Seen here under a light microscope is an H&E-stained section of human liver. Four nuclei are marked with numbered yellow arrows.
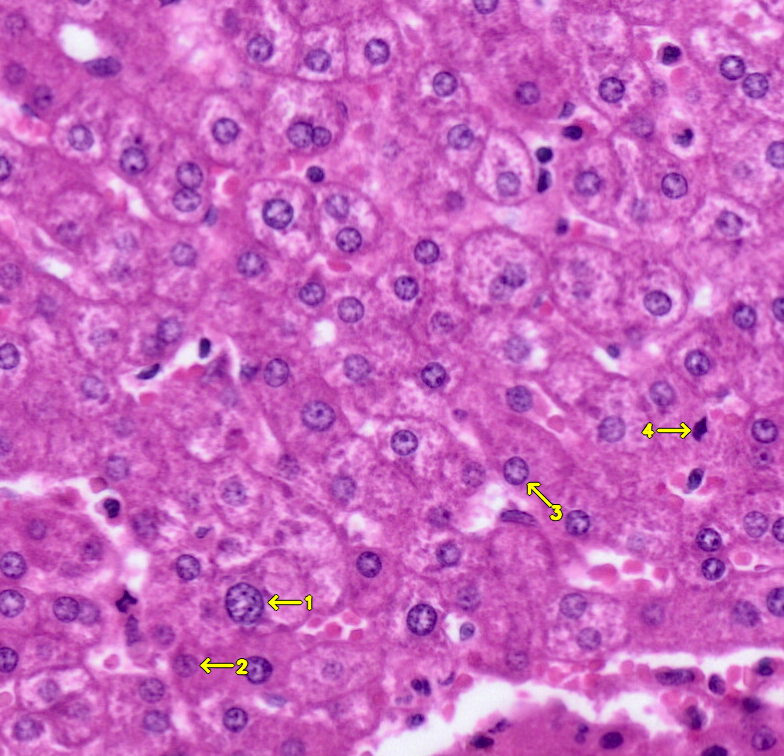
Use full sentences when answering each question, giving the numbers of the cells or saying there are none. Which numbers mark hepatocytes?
Cells 1, 2 and 3 in the section are typed as hepatocytes.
